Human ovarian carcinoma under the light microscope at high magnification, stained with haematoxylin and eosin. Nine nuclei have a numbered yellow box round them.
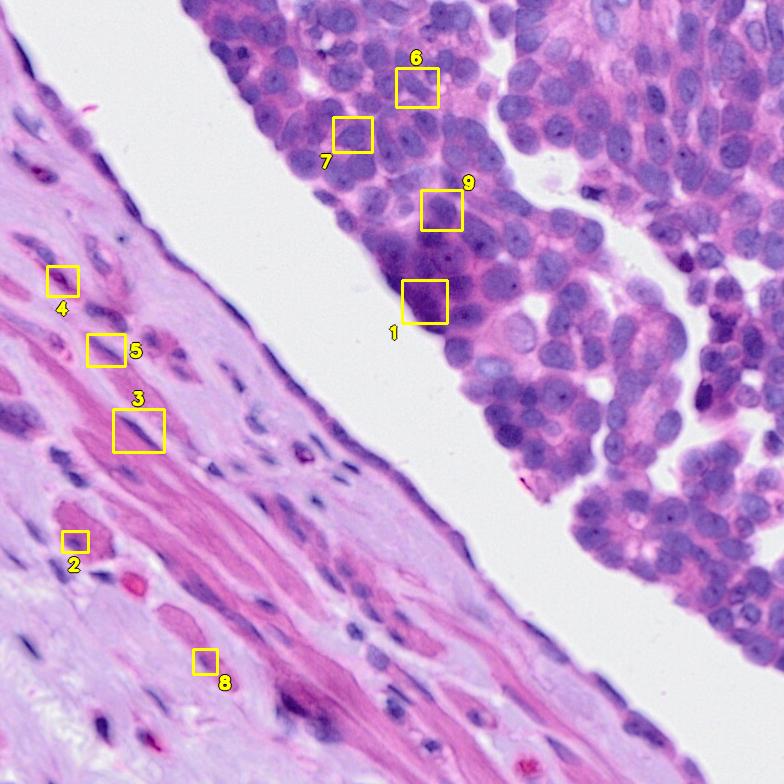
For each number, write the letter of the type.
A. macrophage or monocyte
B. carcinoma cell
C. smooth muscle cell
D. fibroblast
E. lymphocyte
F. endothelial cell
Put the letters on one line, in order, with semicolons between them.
B; C; C; F; C; B; B; C; B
